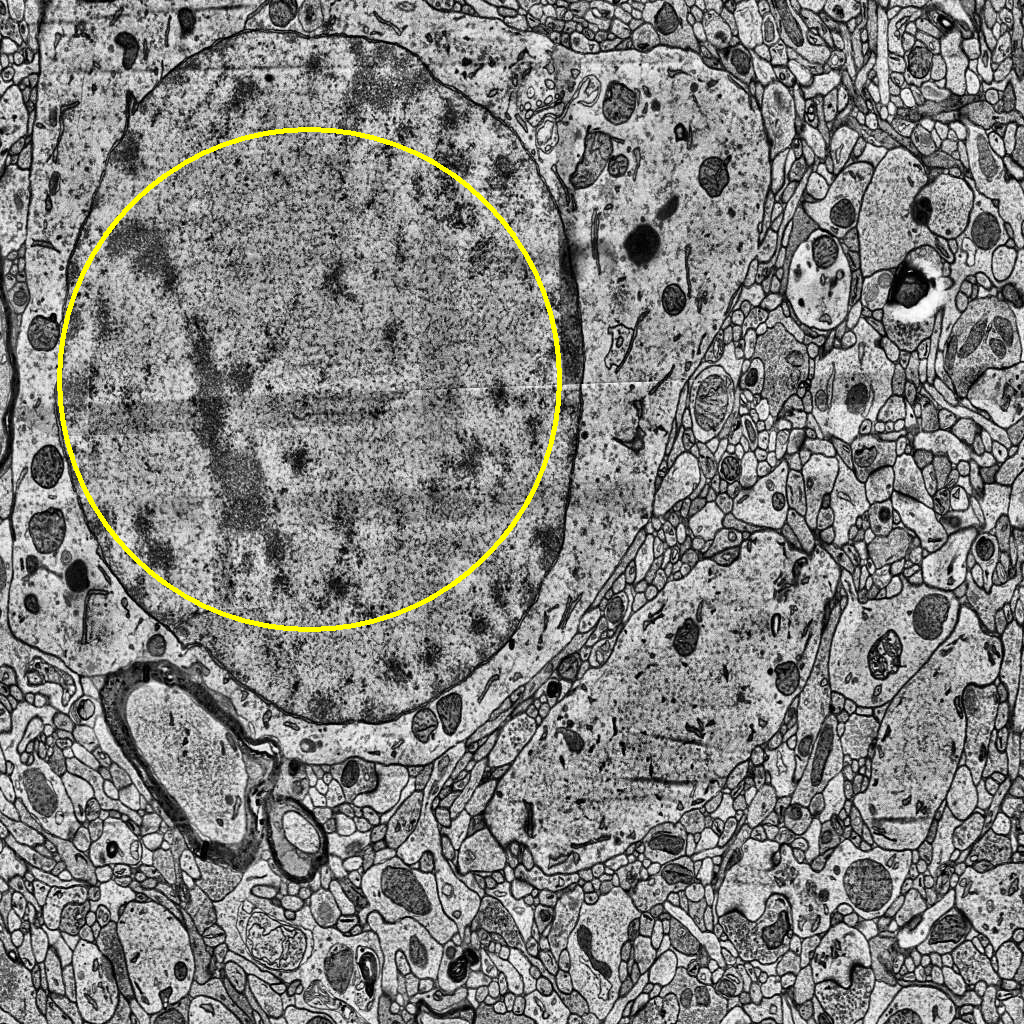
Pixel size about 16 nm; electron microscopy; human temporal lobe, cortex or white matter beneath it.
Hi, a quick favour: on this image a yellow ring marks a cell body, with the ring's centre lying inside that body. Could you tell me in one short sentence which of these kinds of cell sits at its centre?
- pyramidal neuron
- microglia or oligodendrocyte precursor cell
The ring's centre lies in a pyramidal neuron.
